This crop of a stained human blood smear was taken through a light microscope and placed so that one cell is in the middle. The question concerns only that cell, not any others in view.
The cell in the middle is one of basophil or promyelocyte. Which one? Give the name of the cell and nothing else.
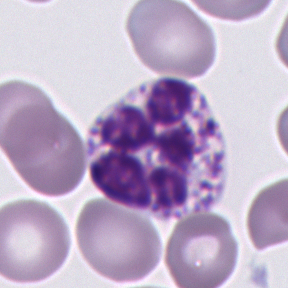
basophil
